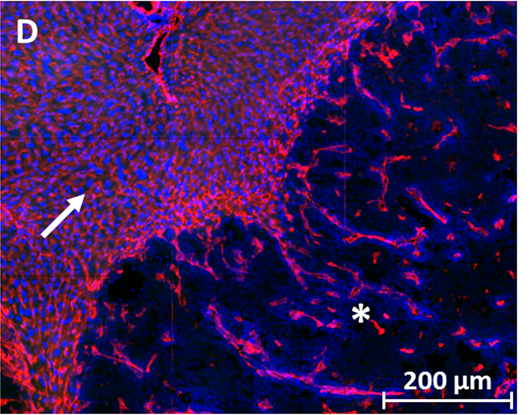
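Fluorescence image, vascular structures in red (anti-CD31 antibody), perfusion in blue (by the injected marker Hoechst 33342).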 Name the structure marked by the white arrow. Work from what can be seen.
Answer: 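Sinusoid vessels. Where the arrow points, a dense, fine network of thin red-lined channels runs between evenly spaced blue nuclei. The red channels are narrow and closely packed throughout this region.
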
